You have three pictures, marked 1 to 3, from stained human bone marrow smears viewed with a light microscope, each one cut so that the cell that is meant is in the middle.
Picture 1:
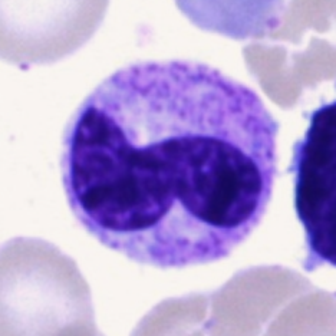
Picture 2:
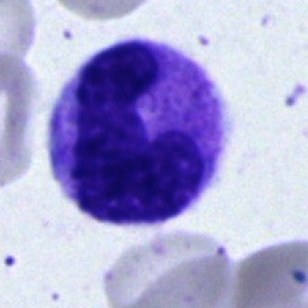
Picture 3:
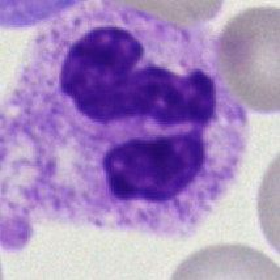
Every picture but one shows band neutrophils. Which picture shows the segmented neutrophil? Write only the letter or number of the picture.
3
